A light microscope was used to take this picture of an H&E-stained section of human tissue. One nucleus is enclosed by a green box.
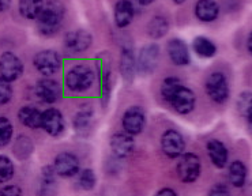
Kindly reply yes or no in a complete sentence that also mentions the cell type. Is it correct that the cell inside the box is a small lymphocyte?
No, scored properly, the cell inside the box is a plasma cell rather than a small lymphocyte.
